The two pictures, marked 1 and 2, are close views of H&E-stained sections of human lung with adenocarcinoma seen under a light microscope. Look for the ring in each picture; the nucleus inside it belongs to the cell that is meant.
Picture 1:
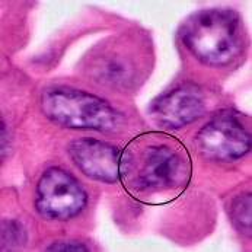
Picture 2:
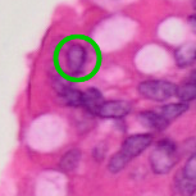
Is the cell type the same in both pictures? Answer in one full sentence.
No, they differ: the cell is a carcinoma cell in picture 1 and a ciliated epithelial cell in picture 2.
